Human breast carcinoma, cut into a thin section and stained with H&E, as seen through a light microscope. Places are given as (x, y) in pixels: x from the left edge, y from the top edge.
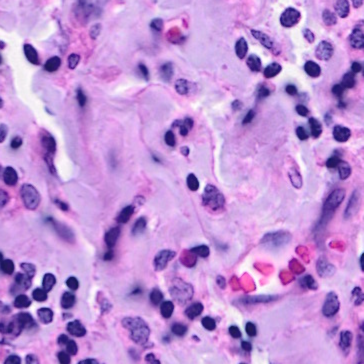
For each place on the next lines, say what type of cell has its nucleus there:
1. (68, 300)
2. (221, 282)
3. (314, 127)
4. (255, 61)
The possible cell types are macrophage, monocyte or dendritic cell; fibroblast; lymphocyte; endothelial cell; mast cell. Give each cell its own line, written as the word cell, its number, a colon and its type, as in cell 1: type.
cell 1: lymphocyte
cell 2: endothelial cell
cell 3: lymphocyte
cell 4: lymphocyte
